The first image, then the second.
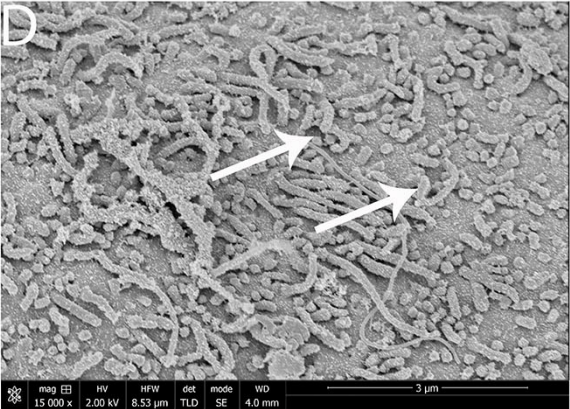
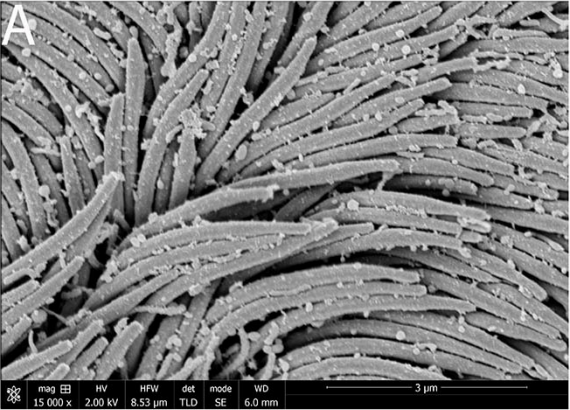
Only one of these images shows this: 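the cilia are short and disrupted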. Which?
The first image.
